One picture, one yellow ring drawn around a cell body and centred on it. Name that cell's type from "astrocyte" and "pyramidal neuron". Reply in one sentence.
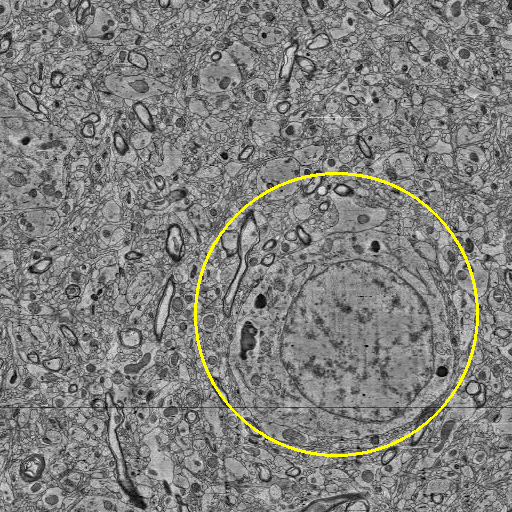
Centred in the ring is a pyramidal neuron.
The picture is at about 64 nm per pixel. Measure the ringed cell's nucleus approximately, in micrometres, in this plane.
The nucleus of the ringed cell is approximately 10 micrometres across in this plane.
